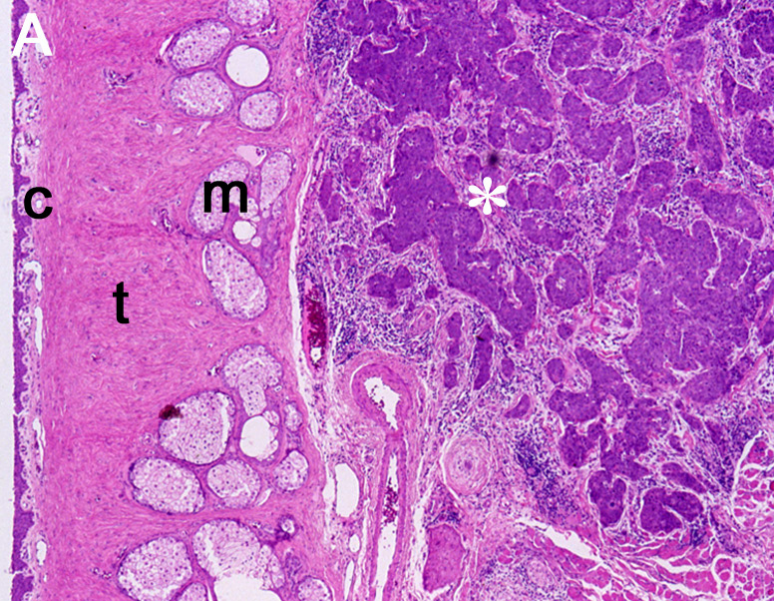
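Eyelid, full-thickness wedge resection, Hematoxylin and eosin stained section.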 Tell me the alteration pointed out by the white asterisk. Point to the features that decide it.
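Dark purple, densely cellular irregular nests fill the right half of the panel. The nests are separated by paler, looser stroma.
Answer: tumor lobules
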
